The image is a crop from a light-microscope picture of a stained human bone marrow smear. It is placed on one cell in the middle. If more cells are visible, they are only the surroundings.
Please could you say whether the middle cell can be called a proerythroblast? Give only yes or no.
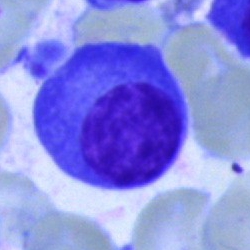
no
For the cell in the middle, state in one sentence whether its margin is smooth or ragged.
No surface projections are present; the cell outline is smooth.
